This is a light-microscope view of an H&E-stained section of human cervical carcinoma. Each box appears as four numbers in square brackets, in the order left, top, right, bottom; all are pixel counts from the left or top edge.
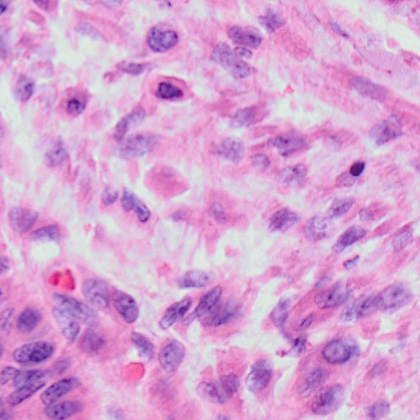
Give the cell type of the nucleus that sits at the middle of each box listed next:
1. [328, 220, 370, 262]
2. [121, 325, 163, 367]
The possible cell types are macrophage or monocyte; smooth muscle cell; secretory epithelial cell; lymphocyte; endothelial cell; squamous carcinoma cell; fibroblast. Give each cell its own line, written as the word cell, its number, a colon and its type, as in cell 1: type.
cell 1: fibroblast
cell 2: endothelial cell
